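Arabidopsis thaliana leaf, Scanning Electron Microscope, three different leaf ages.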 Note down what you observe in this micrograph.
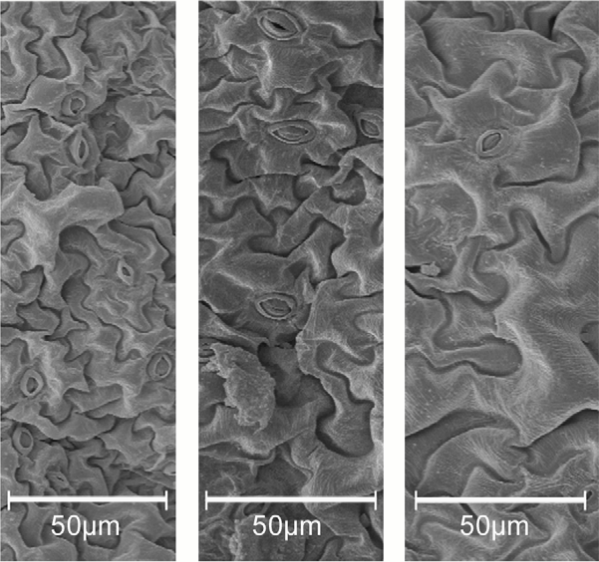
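These are surface views of the leaf epidermis, showing epidermal cells with strongly undulating, lobed walls that interlock like pieces of a jigsaw puzzle. Scattered between them lie stomata, each a small oval pore bordered by a pair of curved guard cells. The outer surface of the cells carries fine wrinkles or striations. In the rightmost image the lobed cells appear larger and the stomata fewer per field than in the leftmost image.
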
